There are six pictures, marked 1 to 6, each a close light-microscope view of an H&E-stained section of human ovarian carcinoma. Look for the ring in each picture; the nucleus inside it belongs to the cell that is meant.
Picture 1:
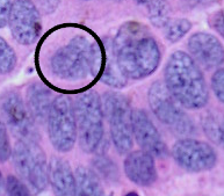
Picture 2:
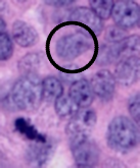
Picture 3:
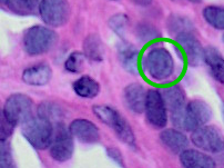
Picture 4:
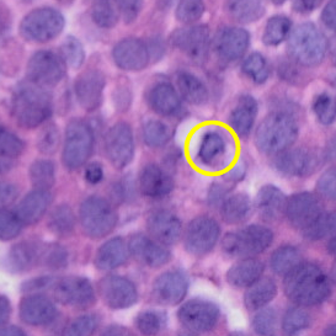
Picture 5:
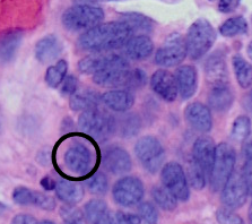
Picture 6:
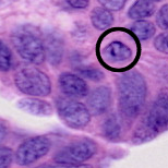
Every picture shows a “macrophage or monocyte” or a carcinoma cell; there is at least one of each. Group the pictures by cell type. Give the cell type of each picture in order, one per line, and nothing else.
carcinoma cell
carcinoma cell
carcinoma cell
macrophage or monocyte
carcinoma cell
macrophage or monocyte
